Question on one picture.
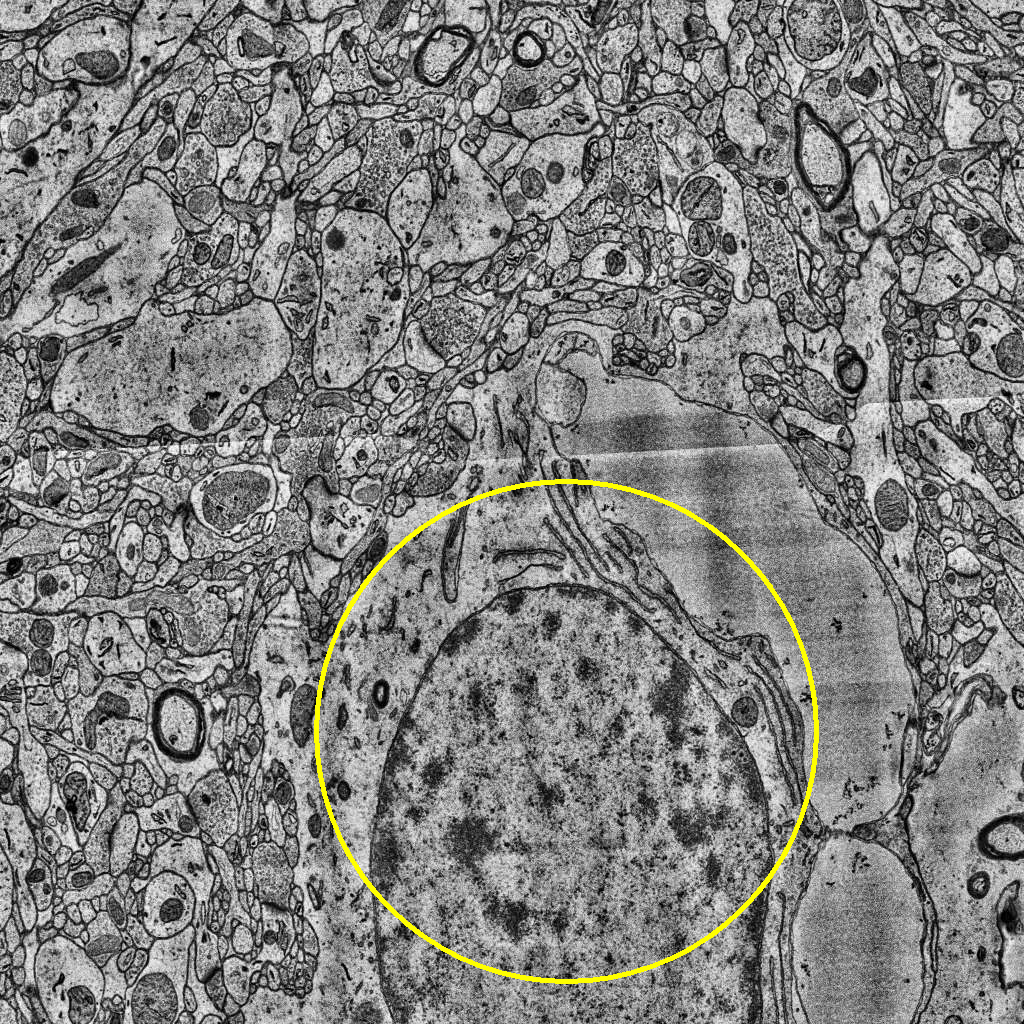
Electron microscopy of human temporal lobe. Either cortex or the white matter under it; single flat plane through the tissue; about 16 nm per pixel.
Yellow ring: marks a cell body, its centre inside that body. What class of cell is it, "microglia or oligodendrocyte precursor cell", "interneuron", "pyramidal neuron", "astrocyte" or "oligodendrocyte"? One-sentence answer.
This is an astrocyte, the cell at the ring's centre.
